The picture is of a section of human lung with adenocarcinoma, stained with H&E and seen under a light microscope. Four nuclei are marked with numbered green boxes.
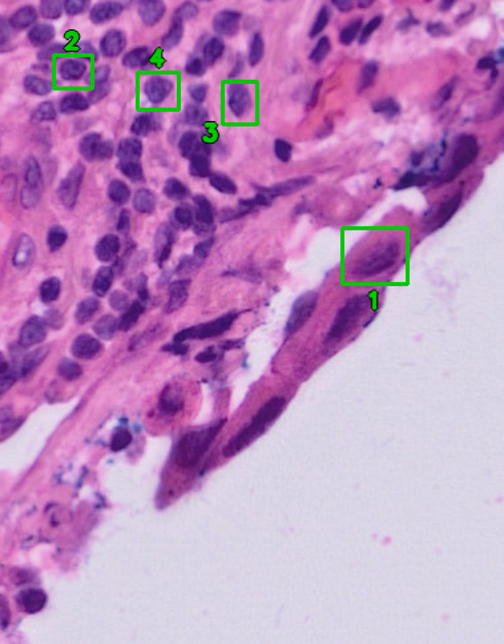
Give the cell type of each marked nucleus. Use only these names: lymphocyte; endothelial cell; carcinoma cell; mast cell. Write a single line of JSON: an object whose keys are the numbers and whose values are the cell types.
{"1": "carcinoma cell", "2": "lymphocyte", "3": "lymphocyte", "4": "lymphocyte"}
